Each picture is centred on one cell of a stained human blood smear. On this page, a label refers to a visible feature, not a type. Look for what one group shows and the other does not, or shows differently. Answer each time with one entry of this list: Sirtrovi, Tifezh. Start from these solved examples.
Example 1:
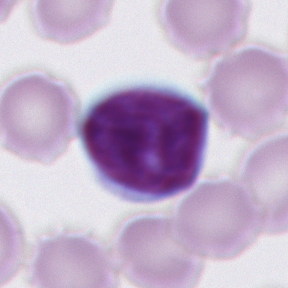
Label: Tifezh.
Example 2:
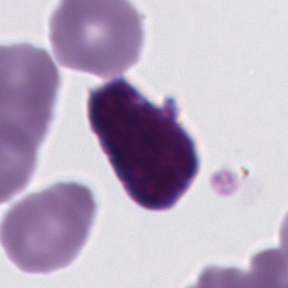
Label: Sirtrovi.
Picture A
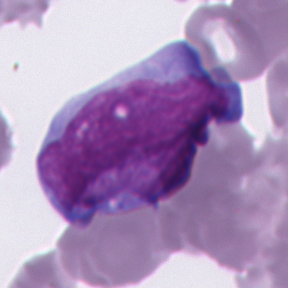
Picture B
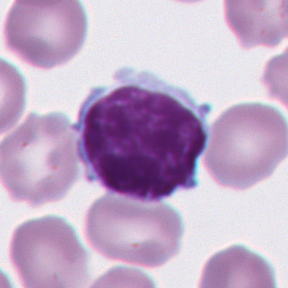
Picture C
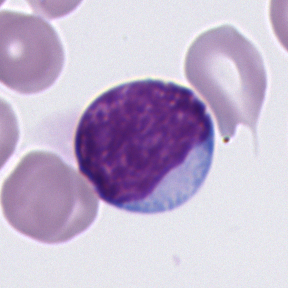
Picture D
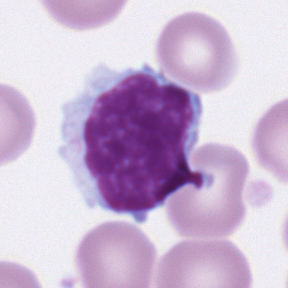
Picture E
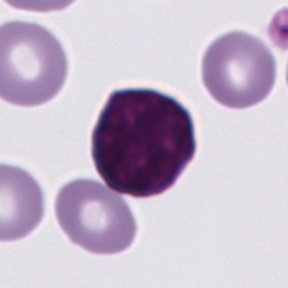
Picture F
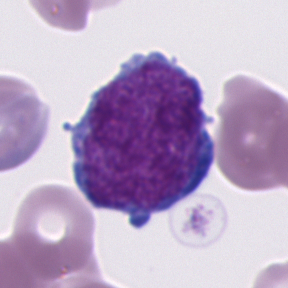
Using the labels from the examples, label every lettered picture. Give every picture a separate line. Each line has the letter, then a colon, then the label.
A: Sirtrovi.
B: Sirtrovi.
C: Tifezh.
D: Sirtrovi.
E: Tifezh.
F: Sirtrovi.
